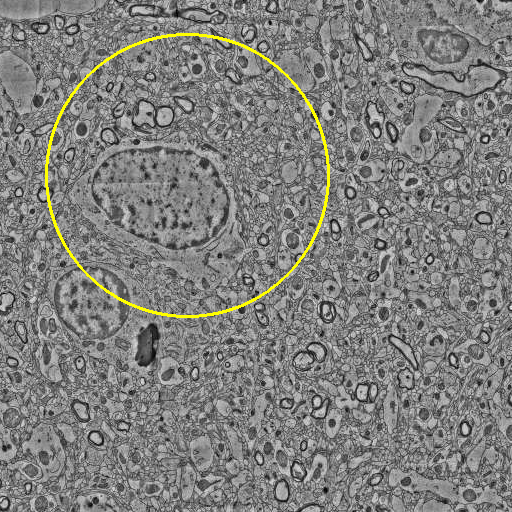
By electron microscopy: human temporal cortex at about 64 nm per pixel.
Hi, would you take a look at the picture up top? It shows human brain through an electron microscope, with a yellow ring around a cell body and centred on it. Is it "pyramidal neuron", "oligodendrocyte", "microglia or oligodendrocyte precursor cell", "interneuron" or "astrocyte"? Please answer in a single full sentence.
The best fit for the cell in the middle of the ring is a microglial cell or oligodendrocyte precursor cell, I reckon.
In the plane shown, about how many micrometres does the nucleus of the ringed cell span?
The nucleus has a long axis of about 9 micrometres and a short axis of about 6 micrometres in this plane.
